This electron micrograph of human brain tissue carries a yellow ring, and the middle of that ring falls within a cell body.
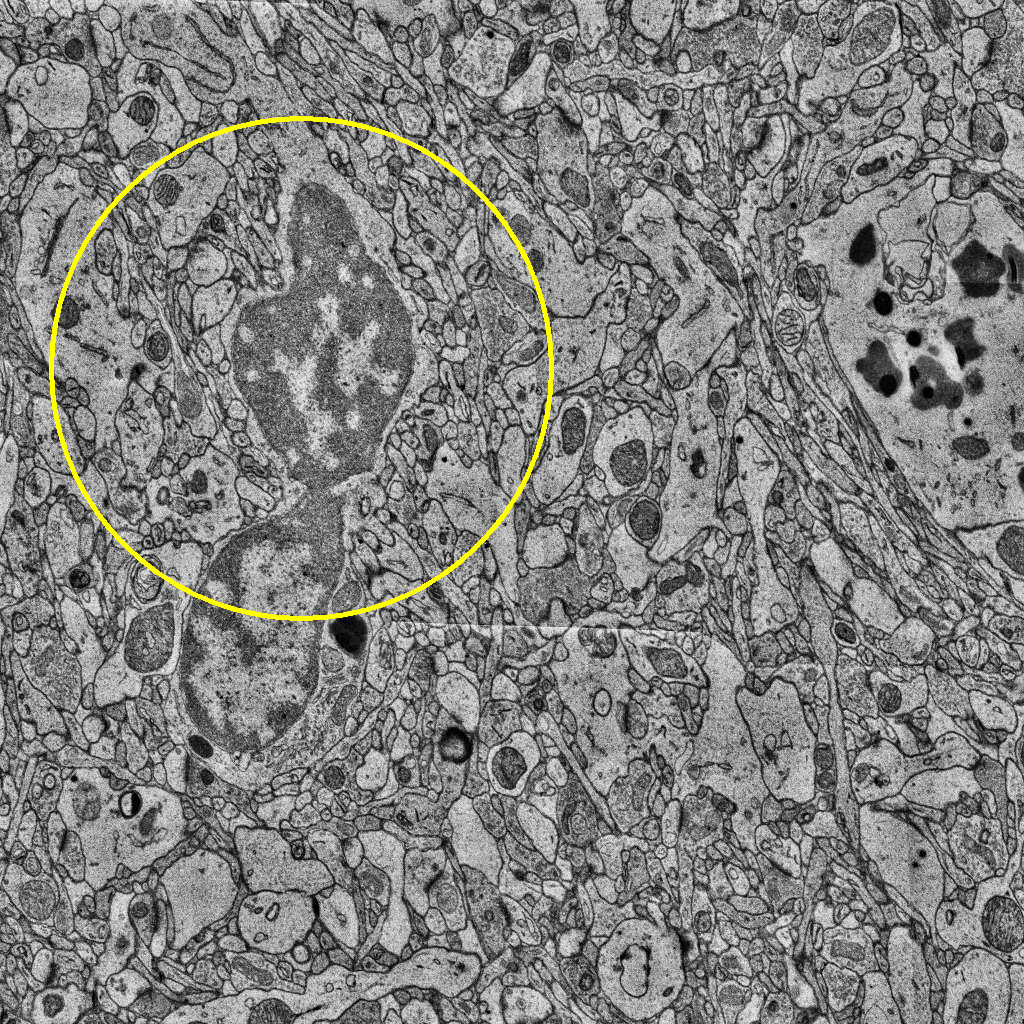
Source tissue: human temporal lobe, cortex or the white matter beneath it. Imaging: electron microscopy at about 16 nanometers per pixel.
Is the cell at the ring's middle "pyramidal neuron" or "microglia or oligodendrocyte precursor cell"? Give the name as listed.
microglia or oligodendrocyte precursor cell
